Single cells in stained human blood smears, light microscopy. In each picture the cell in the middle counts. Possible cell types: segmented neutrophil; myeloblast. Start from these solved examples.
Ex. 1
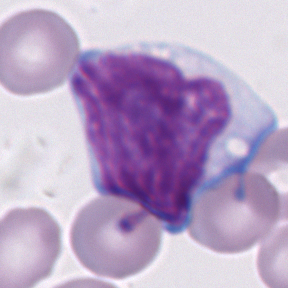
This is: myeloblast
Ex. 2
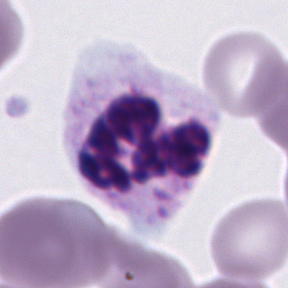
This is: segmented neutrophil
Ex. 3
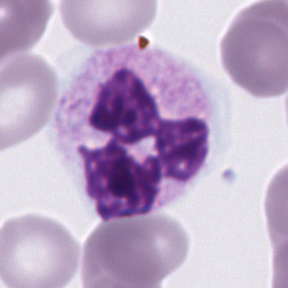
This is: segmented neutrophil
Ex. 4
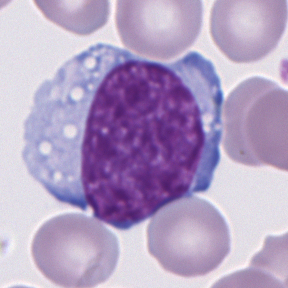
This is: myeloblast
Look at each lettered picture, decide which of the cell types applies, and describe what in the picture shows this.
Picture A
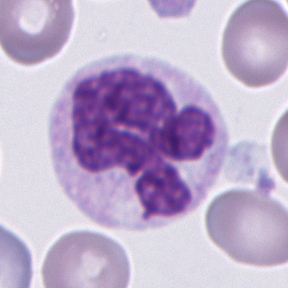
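Answer: segmented neutrophil. The cytoplasm forms a wide rim that is broadest at the lower left.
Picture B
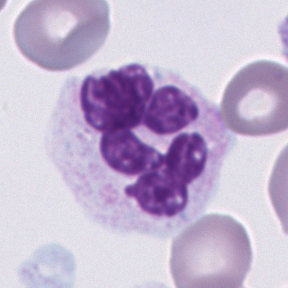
Answer: segmented neutrophil. The nucleus is split into more than three separate lobes.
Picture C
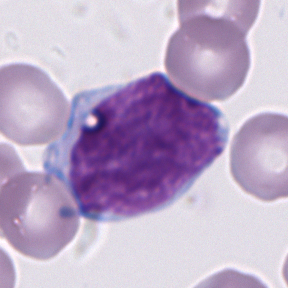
Answer: myeloblast. The cytoplasm forms a narrow rim that is widest on the left side of the cell.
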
